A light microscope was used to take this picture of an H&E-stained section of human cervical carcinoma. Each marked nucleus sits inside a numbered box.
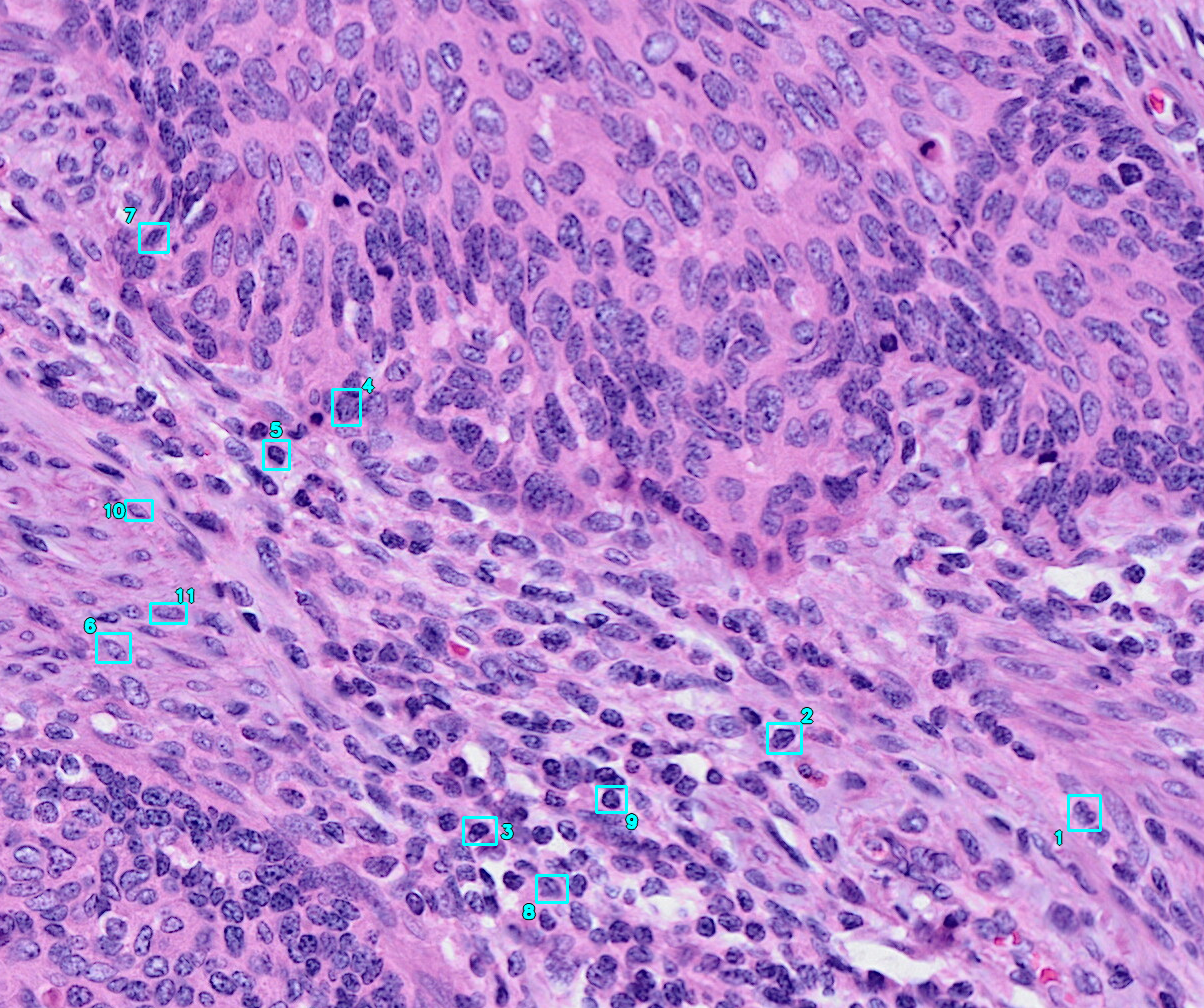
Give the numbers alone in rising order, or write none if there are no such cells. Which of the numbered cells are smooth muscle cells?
6, 10, 11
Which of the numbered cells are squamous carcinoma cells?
4, 7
